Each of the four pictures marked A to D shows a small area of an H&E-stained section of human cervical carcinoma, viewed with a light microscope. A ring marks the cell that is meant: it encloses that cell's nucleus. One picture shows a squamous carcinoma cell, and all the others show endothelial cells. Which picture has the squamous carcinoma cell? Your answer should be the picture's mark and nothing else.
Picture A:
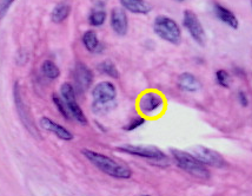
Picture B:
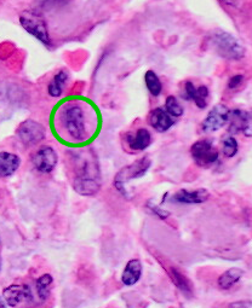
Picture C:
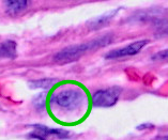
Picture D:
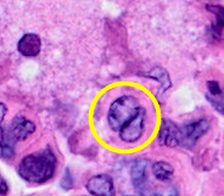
D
